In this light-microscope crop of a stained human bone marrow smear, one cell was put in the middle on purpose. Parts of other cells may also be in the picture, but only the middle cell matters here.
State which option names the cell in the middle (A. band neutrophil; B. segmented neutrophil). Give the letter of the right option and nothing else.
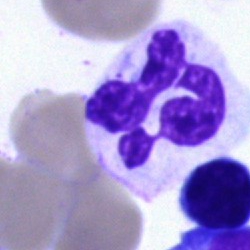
B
